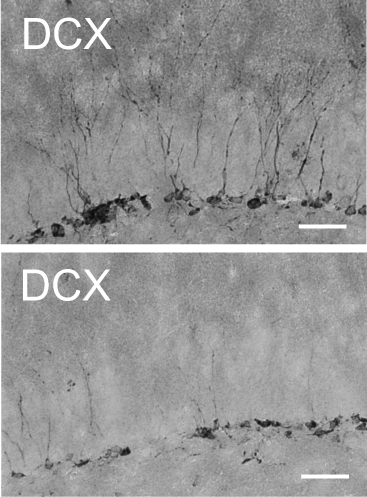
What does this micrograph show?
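Small, dark, rounded or elongated cell bodies lie in a band along the lower border of the unstained granule cell layer, often clustered together. From many of them thin dark processes rise perpendicular through the cell layer, some long and branching near the top, others short. In the upper section many long, parallel processes cross the layer; in the lower section the cell bodies form a similar band but fewer and shorter processes are seen.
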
